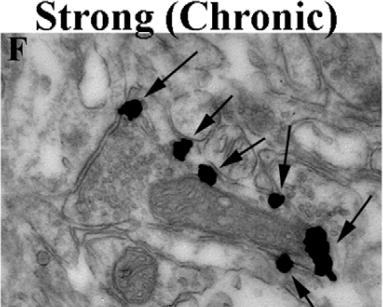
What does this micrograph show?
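This electron micrograph shows neuropil in which one axon terminal carries many dense black particles along its membrane. The terminal contains an elongated mitochondrion running diagonally through it, and some particles cluster at its lower end. Surrounding profiles are small neuronal processes with pale cytoplasm, and a second mitochondrion lies in a neighbouring profile.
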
